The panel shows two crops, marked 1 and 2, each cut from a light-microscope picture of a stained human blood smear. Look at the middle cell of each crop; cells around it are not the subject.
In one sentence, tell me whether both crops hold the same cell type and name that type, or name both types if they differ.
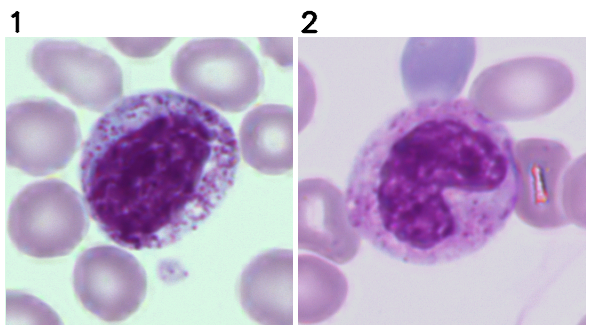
Yes, metamyelocytes occupy the centre of both crops.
